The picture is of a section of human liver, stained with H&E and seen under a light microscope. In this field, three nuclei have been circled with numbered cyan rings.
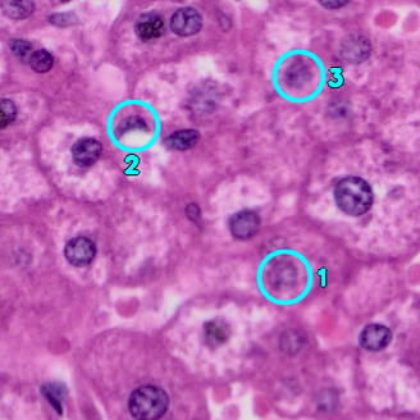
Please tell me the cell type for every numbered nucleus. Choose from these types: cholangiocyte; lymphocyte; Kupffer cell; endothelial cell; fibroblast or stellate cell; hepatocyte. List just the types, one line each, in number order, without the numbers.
hepatocyte
endothelial cell
hepatocyte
